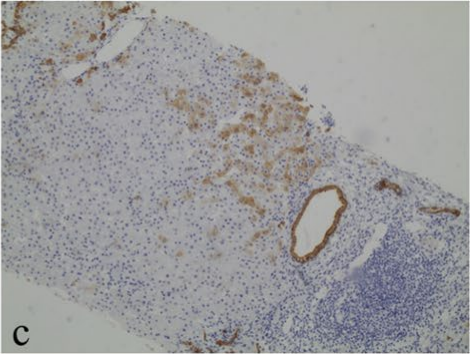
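This is liver tissue in which a cluster of hepatocytes in the lobule has taken up the brown stain. The hepatocytes are large polygonal cells with round blue nuclei, arranged in plates, and in the upper middle many of them show granular brown cytoplasm while those around them stay pale. To the right a bile duct stands out as a ring of brown-stained epithelium around an open lumen, with smaller brown ducts nearby. In the lower right a dense sheet of small dark blue nuclei marks a collection of inflammatory cells. Compared with the pale hepatocytes elsewhere, the brown patch shows that these liver cells share the staining of the duct epithelium.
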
